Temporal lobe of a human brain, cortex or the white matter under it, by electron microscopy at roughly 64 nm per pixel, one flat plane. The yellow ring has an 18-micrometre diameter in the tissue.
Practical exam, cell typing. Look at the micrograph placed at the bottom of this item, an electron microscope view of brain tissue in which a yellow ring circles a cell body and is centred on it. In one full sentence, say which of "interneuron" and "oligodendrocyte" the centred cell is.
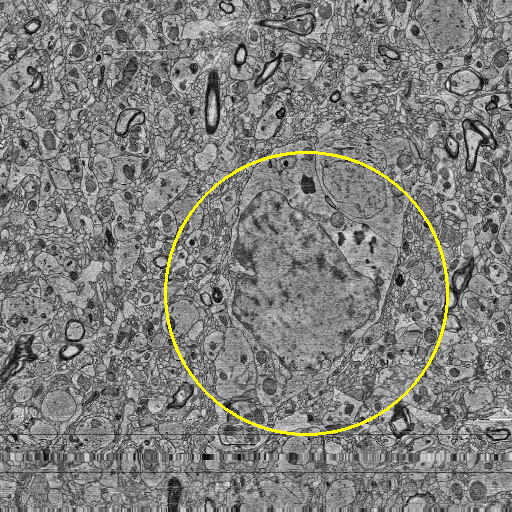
Given the options, an interneuron fits the cell whose body the yellow ring is centred on.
